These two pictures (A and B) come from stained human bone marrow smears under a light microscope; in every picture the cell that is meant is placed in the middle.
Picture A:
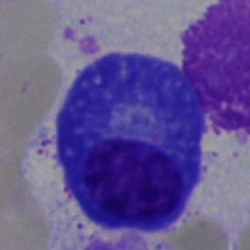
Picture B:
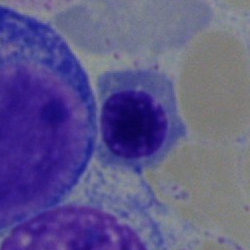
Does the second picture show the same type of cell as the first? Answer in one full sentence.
No, the types are not the same, since picture A shows a plasma cell and picture B an erythroblast.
